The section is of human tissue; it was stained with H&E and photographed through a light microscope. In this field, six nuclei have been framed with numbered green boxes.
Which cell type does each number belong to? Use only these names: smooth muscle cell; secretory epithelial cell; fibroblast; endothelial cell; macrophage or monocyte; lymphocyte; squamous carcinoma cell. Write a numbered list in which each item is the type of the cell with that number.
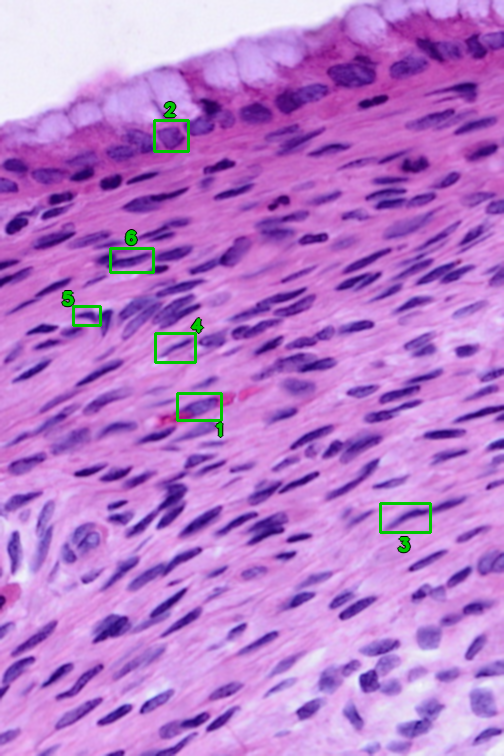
1. endothelial cell
2. secretory epithelial cell
3. fibroblast
4. fibroblast
5. fibroblast
6. fibroblast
